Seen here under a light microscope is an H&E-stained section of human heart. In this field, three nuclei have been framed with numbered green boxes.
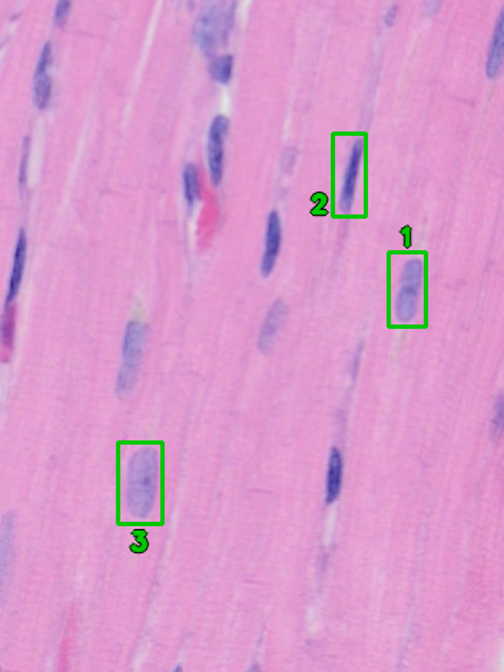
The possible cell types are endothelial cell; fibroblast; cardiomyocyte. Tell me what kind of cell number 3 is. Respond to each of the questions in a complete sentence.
The cell identified by number 3 is a cardiomyocyte.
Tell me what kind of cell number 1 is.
The marked nucleus 1 is that of a cardiomyocyte.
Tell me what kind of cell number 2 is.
Looking at the numbered marks, cell 2 is an endothelial cell.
